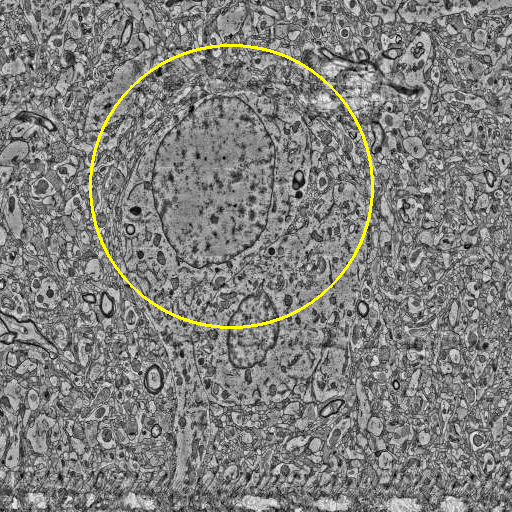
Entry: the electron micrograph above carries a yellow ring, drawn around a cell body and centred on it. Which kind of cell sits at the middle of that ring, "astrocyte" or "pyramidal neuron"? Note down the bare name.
pyramidal neuron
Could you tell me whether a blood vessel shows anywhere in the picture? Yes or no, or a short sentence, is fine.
No, there is no blood vessel.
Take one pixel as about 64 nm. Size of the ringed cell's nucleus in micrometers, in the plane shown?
The nucleus is approximately 11 micrometers long by 8 micrometers wide in this plane.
